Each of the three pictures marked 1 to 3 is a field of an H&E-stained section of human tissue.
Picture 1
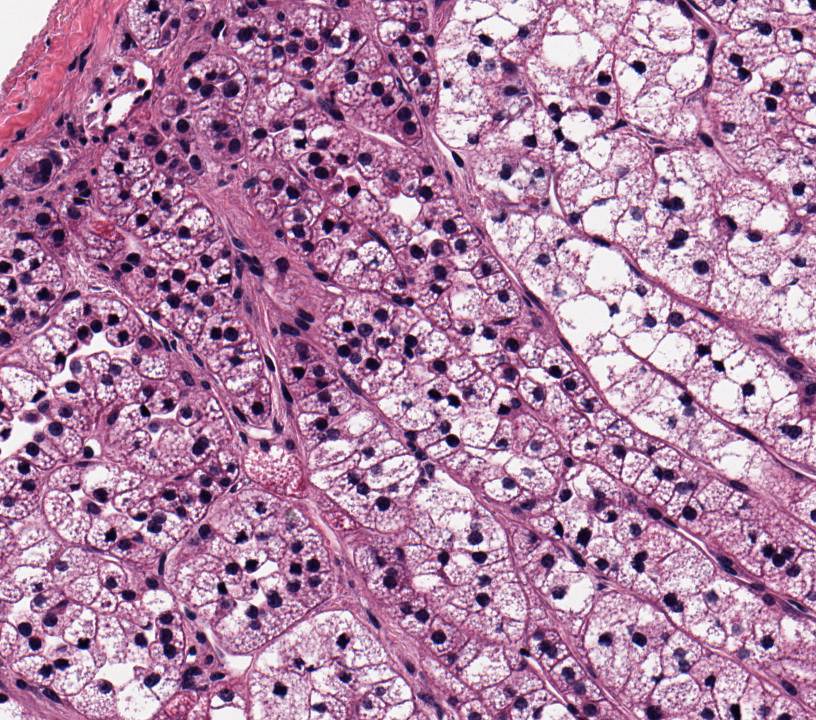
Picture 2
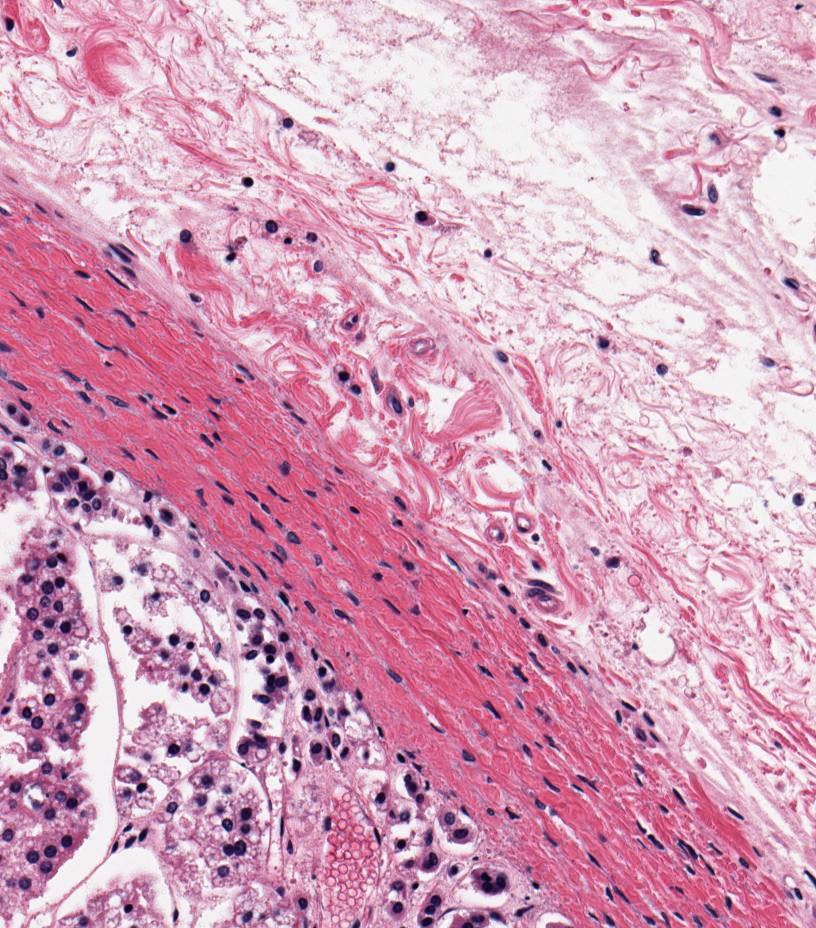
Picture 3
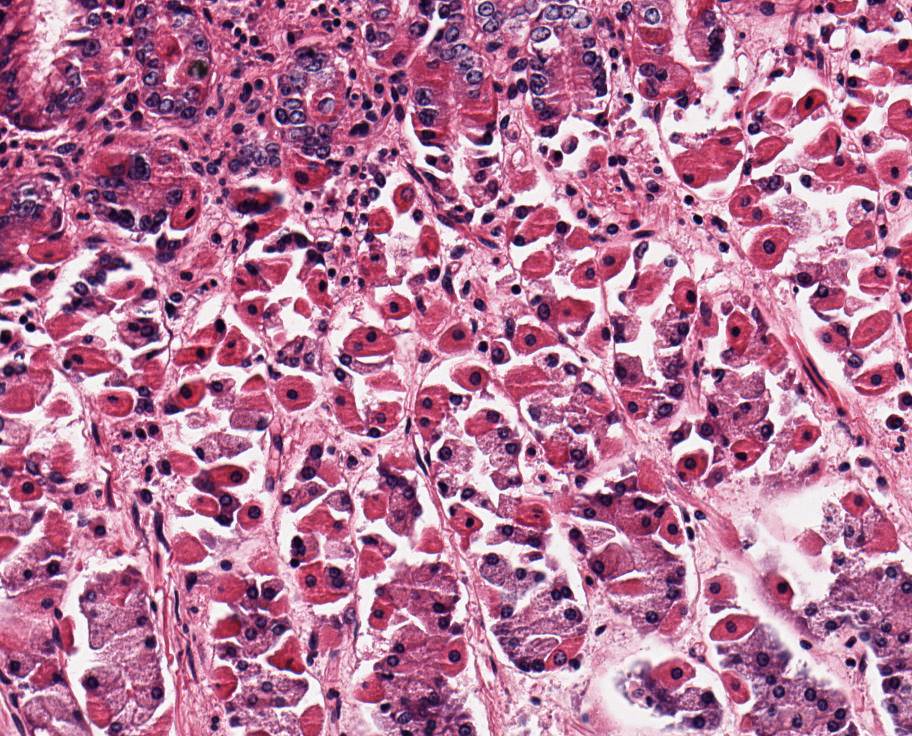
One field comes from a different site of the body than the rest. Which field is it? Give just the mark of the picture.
3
